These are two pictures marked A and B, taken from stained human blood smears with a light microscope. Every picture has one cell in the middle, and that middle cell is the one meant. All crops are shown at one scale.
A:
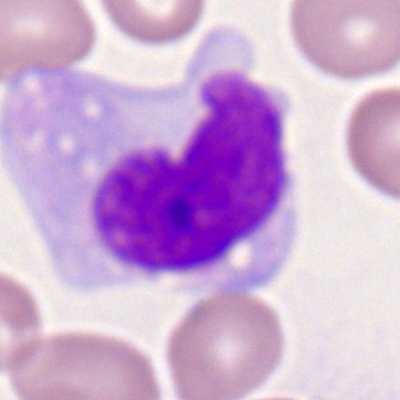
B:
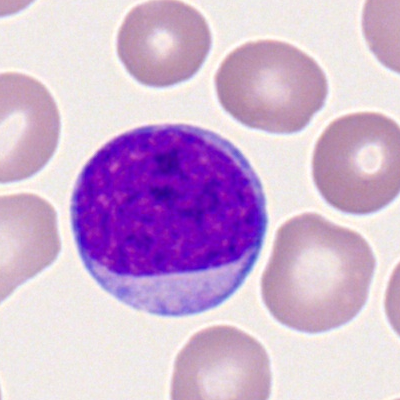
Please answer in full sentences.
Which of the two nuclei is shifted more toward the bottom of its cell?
In crop A the nucleus is shifted more toward the bottom.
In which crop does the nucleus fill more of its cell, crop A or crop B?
It is the cell in crop B that is filled more by its nucleus.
